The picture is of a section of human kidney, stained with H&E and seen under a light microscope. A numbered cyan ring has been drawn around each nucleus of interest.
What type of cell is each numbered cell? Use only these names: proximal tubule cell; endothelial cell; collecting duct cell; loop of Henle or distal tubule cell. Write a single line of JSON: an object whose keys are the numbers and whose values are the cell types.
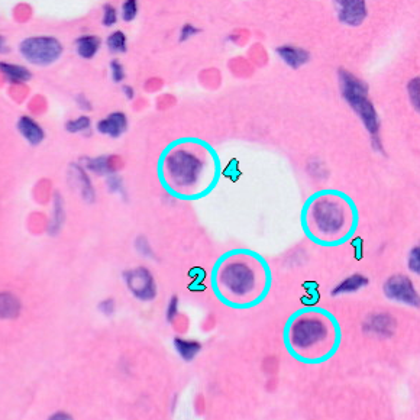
{"1": "loop of Henle or distal tubule cell", "2": "loop of Henle or distal tubule cell", "3": "proximal tubule cell", "4": "loop of Henle or distal tubule cell"}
